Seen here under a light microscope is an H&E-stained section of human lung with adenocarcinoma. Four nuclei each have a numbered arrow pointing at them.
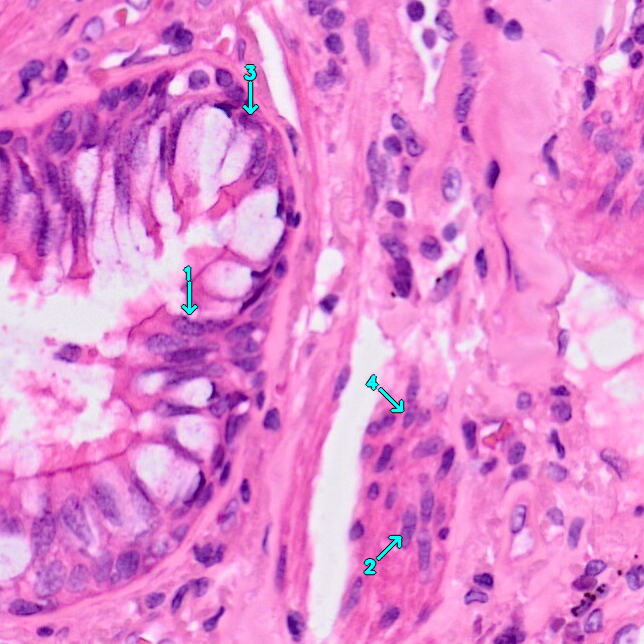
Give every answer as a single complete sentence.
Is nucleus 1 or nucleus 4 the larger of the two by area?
Number 1 is larger; its area is about 2.5 times that of number 4.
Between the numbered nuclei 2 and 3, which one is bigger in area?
At about 2 times the area of nucleus 3, nucleus 2 is the larger of the two.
